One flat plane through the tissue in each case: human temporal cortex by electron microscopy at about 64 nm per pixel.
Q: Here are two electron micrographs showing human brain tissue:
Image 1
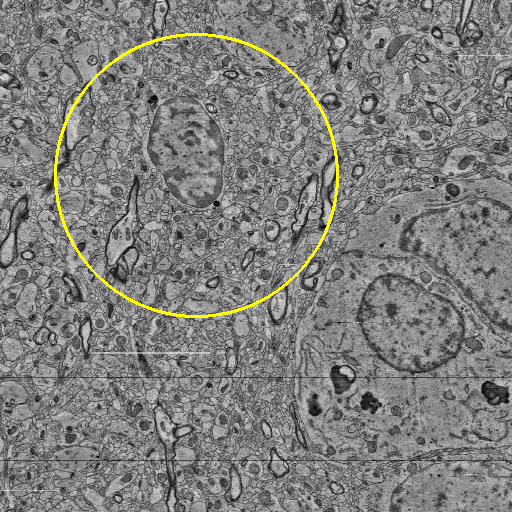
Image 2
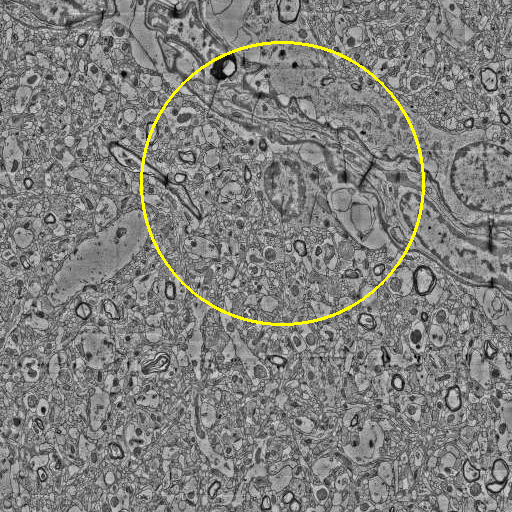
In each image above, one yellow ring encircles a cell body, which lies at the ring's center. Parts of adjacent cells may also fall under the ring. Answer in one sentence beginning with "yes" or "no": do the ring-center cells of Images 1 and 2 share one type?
No, in Images 1 and 2, the ring-center cells are of two types.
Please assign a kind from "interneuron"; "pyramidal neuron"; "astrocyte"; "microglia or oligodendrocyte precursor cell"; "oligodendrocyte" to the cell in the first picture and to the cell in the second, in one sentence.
In the first picture we have a microglial cell or oligodendrocyte precursor cell, and in the second, an oligodendrocyte.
